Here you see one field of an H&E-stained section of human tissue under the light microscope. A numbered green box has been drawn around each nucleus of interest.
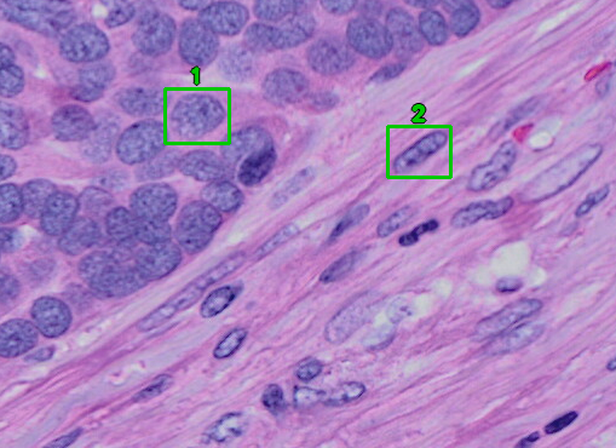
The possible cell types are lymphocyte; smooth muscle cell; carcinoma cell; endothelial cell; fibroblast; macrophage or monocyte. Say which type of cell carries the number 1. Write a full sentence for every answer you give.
Numbered cell 1 is a carcinoma cell in this tissue section.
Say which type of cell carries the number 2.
Classified as a fibroblast is the cell with the number 2.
